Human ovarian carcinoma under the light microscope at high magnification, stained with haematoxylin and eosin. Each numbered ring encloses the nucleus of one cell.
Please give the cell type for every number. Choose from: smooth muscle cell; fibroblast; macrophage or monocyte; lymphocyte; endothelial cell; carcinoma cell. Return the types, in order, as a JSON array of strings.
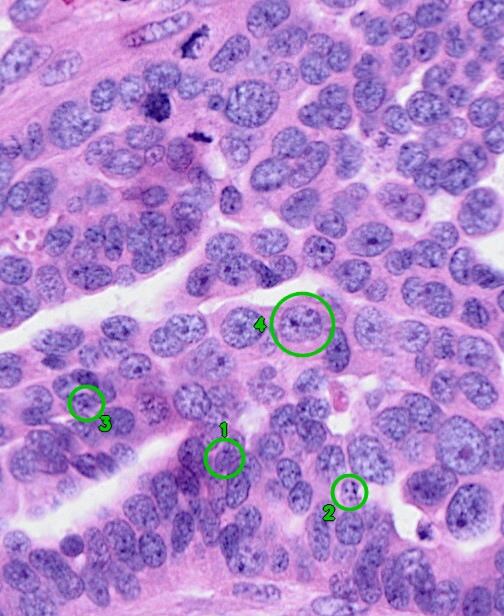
["carcinoma cell", "macrophage or monocyte", "carcinoma cell", "carcinoma cell"]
